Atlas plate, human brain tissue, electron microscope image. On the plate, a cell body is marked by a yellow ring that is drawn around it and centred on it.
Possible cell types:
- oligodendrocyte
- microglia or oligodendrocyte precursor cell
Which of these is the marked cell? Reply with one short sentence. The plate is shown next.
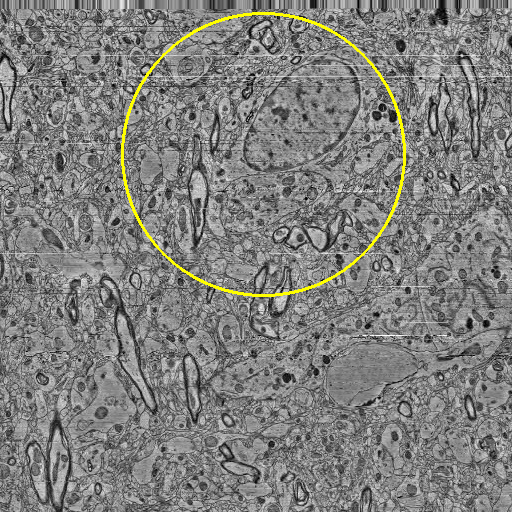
The marked cell is a microglial cell or oligodendrocyte precursor cell.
